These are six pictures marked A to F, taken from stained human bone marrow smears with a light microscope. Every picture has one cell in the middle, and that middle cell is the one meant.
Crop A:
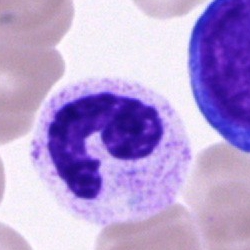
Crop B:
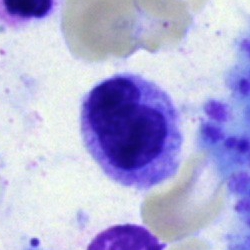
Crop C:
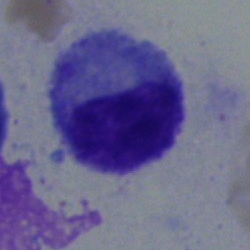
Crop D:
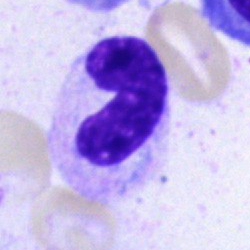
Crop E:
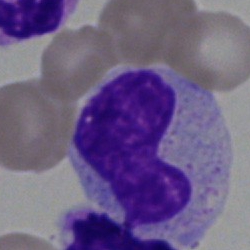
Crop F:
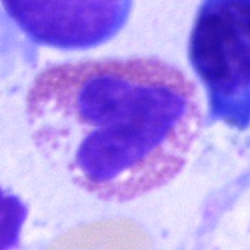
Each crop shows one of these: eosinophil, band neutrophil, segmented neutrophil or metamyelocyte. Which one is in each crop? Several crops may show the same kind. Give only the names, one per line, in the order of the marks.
segmented neutrophil
metamyelocyte
metamyelocyte
band neutrophil
metamyelocyte
eosinophil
